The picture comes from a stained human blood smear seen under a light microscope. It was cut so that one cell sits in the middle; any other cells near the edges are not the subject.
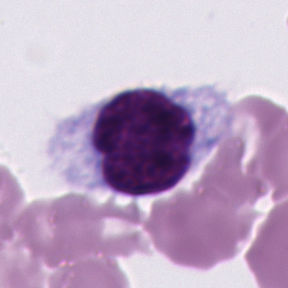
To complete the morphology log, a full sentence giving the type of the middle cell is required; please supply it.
The cell sitting right in the middle is a hairy cell.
